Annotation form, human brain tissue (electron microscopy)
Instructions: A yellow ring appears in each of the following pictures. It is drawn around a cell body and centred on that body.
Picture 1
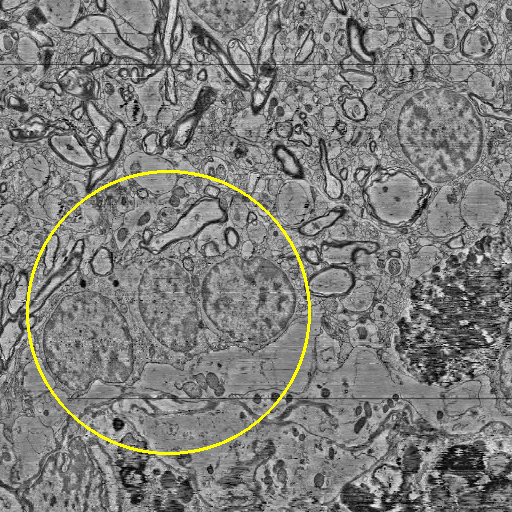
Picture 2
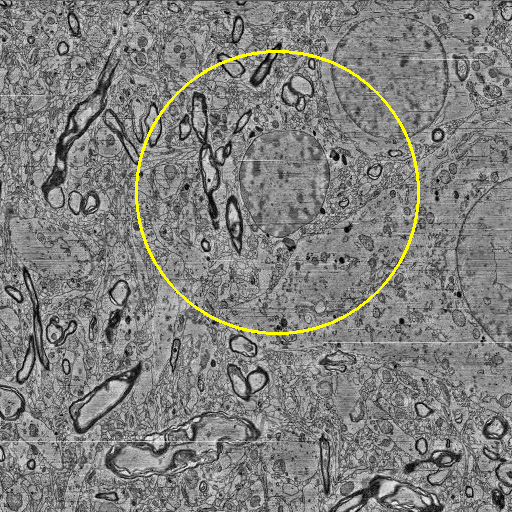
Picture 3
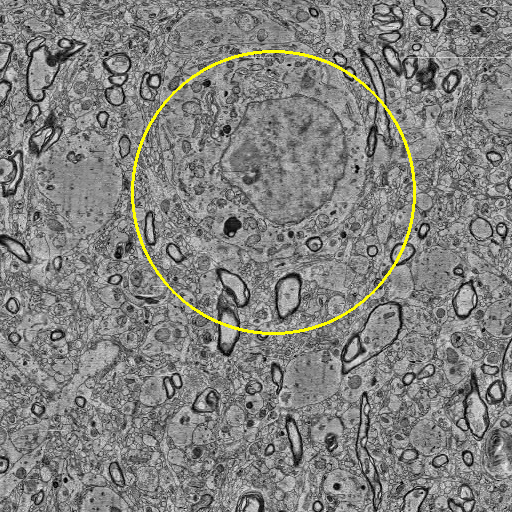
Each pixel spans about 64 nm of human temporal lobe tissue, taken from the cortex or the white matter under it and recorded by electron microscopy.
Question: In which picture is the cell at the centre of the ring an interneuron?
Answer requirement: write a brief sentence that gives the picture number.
The cell at the centre of the ring in Picture 3 is the one asked for.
